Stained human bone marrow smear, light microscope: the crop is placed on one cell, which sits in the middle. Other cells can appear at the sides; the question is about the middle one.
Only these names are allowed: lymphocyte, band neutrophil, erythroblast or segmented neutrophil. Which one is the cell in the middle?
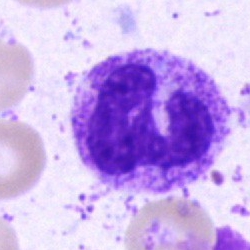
segmented neutrophil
